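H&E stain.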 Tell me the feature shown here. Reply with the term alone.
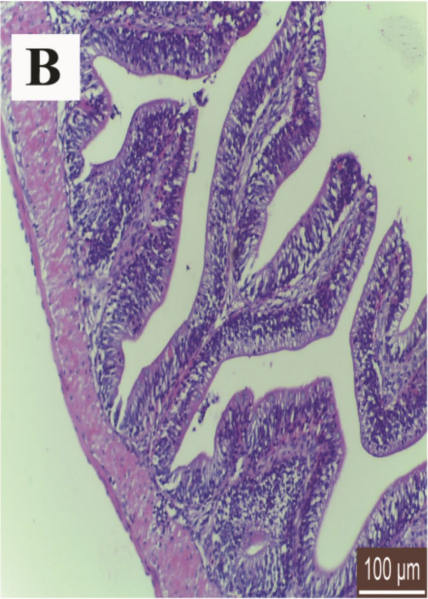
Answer: Intestinal villi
